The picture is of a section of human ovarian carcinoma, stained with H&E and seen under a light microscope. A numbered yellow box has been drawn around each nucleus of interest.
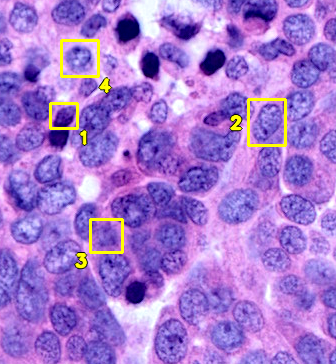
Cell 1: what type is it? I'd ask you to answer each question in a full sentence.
Nucleus 1 in this section belongs to a carcinoma cell.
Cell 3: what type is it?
Nucleus 3 in this section belongs to a carcinoma cell.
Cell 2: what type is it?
Nucleus 2 in this section belongs to a carcinoma cell.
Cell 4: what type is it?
The cell numbered 4 has been identified as a macrophage or monocyte.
